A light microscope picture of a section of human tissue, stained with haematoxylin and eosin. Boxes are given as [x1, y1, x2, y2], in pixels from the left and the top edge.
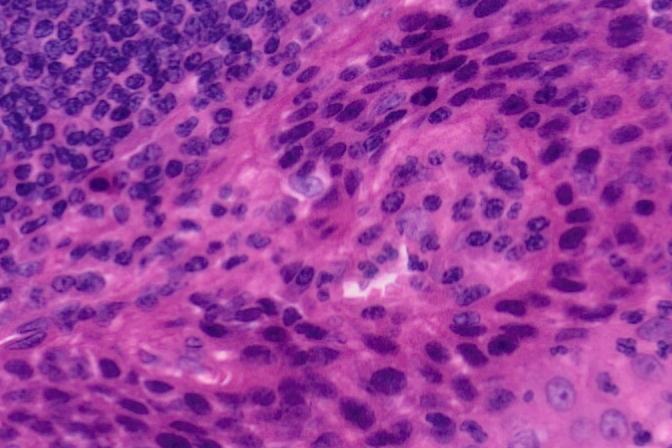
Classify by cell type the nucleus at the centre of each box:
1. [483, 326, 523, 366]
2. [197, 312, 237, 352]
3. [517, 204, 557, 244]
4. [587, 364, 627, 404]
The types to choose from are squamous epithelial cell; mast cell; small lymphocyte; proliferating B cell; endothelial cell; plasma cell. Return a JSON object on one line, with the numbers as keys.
{"1": "squamous epithelial cell", "2": "squamous epithelial cell", "3": "plasma cell", "4": "squamous epithelial cell"}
